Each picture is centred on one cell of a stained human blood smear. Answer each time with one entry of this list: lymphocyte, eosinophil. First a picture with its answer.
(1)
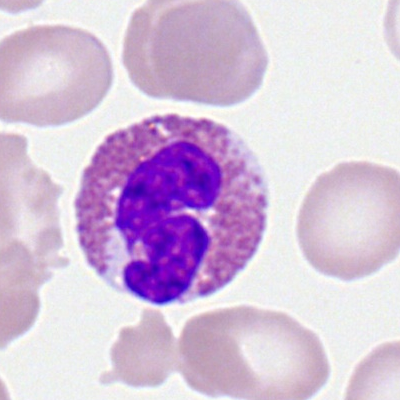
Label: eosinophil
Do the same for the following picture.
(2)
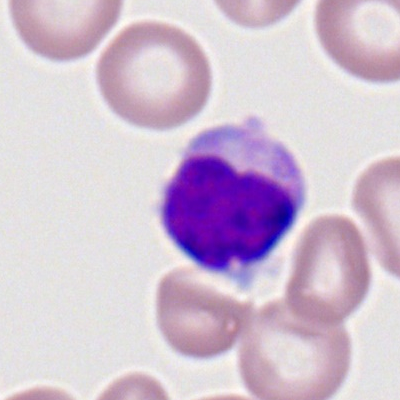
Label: lymphocyte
